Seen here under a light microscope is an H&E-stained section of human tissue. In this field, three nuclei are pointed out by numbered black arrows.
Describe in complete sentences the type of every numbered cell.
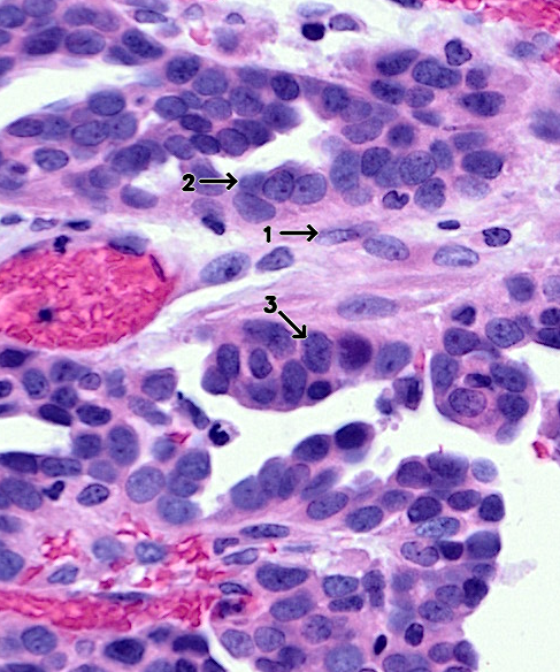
Cell 1 is a fibroblast. Cells 2 and 3 are carcinoma cells.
